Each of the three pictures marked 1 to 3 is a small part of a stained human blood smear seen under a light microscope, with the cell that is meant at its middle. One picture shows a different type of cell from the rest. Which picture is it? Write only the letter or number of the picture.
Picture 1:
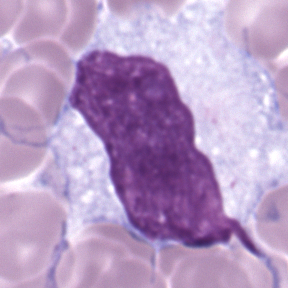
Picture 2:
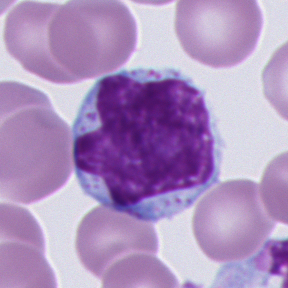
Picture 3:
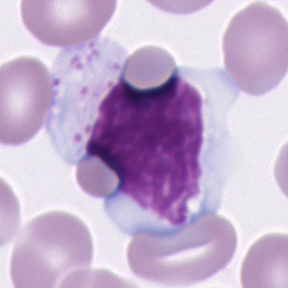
1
